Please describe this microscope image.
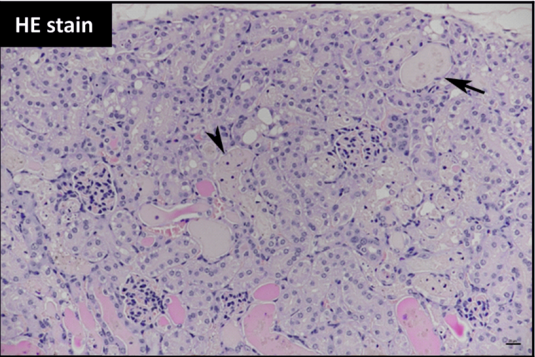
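This is kidney cortex with proximal tubules and scattered glomeruli, showing tubular injury. Several glomeruli appear as round, cell-dense tufts among the tubules. Many tubules are dilated and their lumina are packed with smooth, glassy pink protein casts, especially toward the bottom of the field. Some tubules have a thinned, flattened epithelial lining around a widened pale lumen, and others show a disrupted lining with loss of epithelial cells and few intact nuclei. Elsewhere the tubules still have cuboidal cells with purple round nuclei and pink cytoplasm.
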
